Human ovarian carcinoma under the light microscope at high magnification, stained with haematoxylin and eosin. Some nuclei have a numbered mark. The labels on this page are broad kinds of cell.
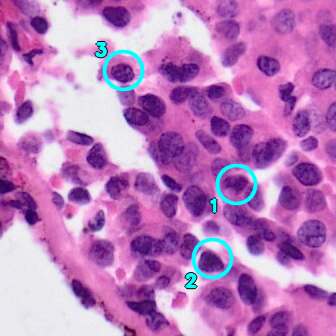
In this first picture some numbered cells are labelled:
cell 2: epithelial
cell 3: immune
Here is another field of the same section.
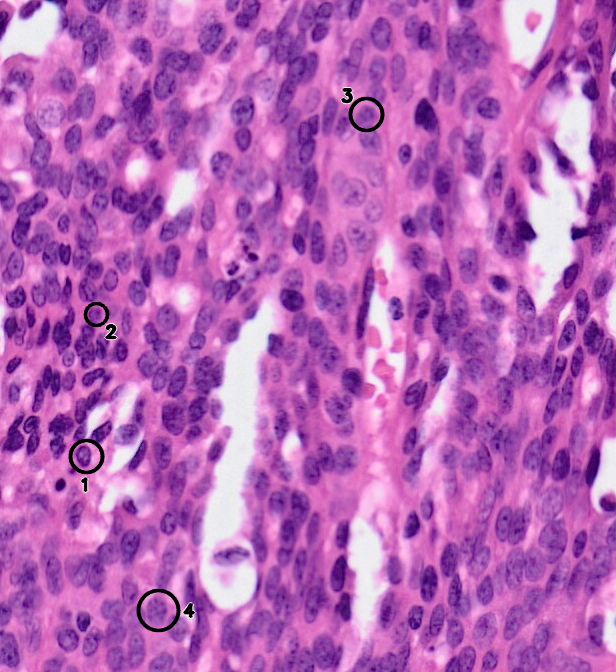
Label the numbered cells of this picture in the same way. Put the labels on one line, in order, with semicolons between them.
immune; epithelial; epithelial; epithelial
